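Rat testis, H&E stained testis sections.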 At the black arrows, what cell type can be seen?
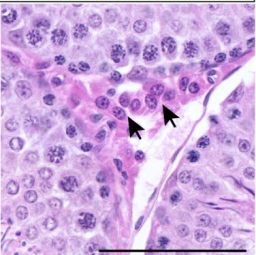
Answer: Interstitial Leydig cells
